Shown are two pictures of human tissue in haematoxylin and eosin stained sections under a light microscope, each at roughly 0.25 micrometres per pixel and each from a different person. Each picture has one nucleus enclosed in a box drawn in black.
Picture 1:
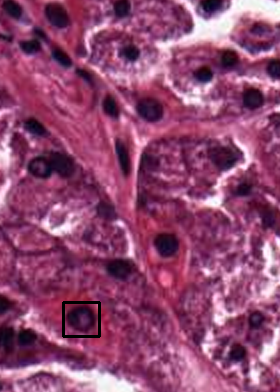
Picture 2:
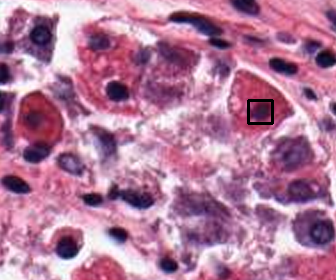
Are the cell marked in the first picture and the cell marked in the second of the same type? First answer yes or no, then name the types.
Yes, both are parietal cells.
